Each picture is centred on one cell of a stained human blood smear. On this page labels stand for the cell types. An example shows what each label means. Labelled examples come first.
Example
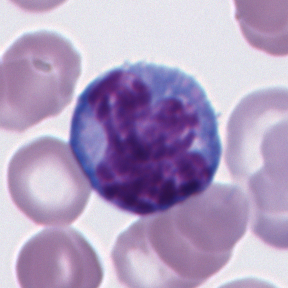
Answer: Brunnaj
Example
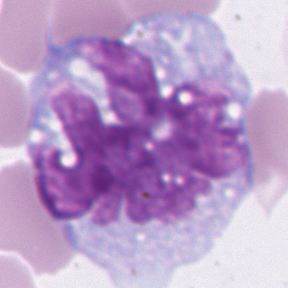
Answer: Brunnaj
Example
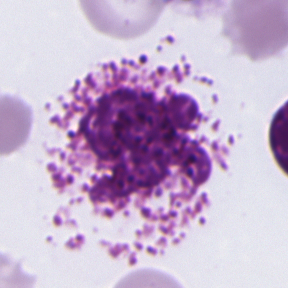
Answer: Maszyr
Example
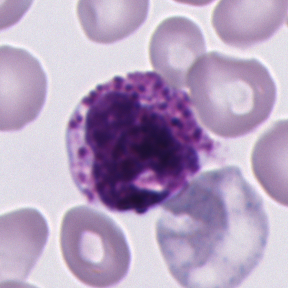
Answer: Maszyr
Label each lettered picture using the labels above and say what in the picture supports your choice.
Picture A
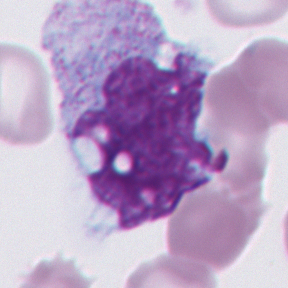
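Brunnaj: Fine pinkish-purple granules are scattered through the cytoplasm.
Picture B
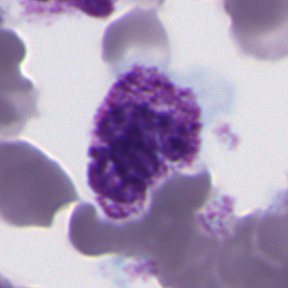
Maszyr: The cell is packed with coarse dark purple granules.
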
